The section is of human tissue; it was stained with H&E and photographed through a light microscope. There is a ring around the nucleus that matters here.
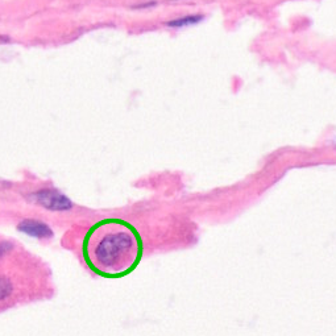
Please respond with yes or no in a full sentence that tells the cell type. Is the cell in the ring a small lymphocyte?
No, scored properly, the cell in the ring is a proximal tubule cell rather than a small lymphocyte.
